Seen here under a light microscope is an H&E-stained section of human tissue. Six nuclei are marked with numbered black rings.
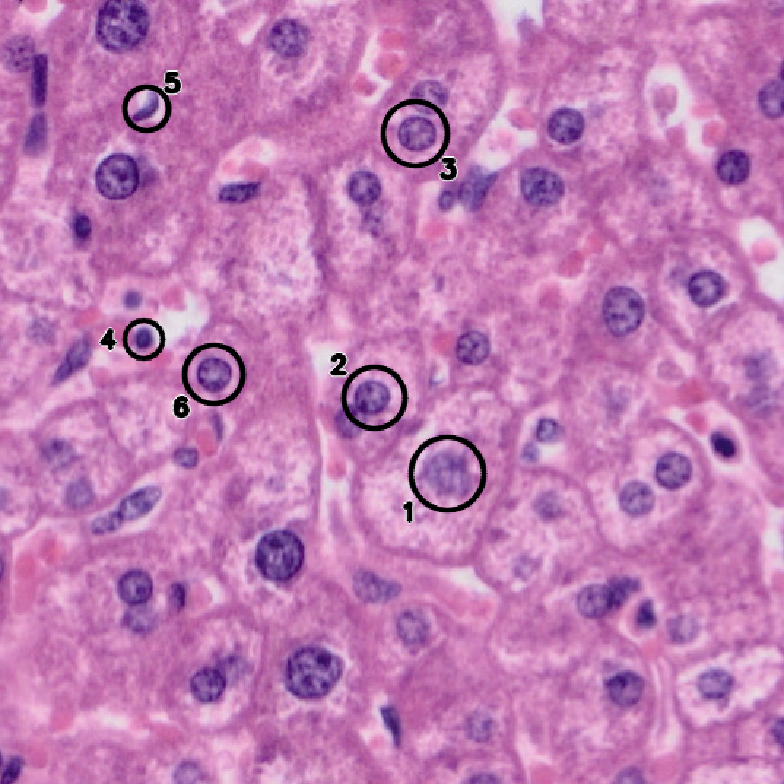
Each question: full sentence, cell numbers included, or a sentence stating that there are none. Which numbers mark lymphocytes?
Response: cell 4 is a lymphocyte, and no other numbered cell is.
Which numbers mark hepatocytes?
The cells whose numbers are 1, 2, 3 and 6 are hepatocytes.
